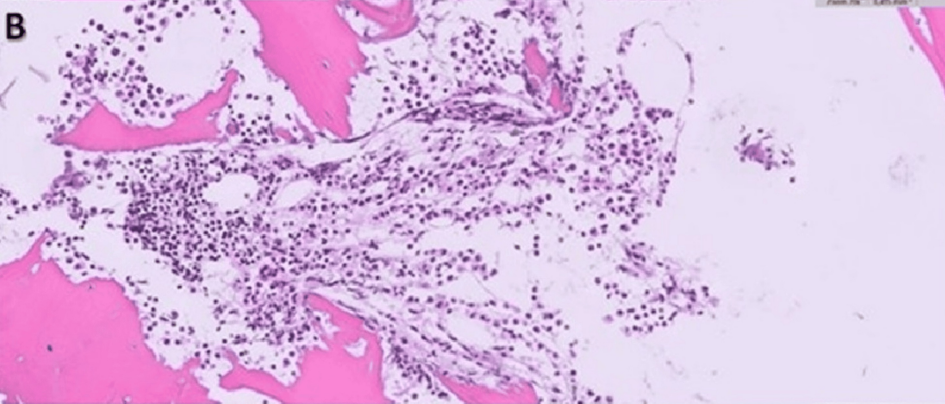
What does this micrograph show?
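This is bone marrow, with hematopoietic marrow lying between fragments of pink bony trabeculae. The cells are less densely packed than in a fully cellular marrow, with small round dark nuclei scattered in a loose, pale background. A large empty area occupies the right side of the section.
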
